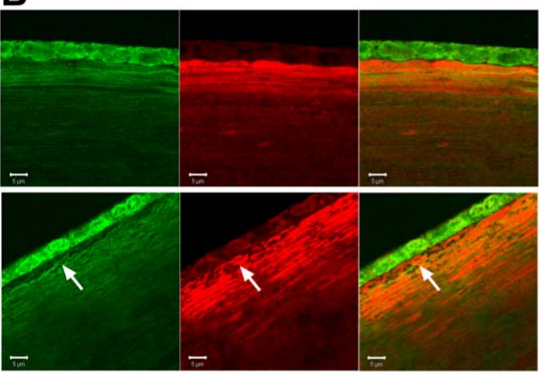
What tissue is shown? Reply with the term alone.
Anterior cortical fibers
